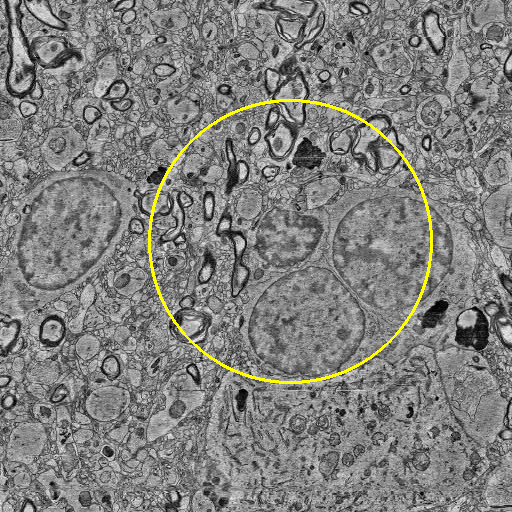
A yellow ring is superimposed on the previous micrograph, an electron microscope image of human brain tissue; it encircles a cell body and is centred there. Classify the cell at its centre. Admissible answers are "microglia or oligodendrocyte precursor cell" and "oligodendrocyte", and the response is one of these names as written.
oligodendrocyte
